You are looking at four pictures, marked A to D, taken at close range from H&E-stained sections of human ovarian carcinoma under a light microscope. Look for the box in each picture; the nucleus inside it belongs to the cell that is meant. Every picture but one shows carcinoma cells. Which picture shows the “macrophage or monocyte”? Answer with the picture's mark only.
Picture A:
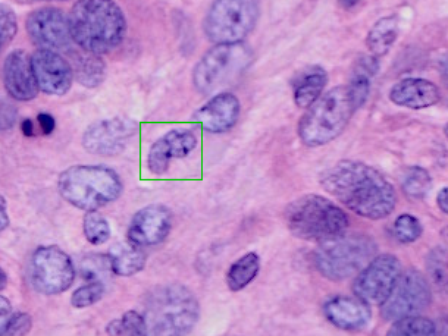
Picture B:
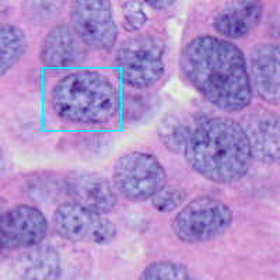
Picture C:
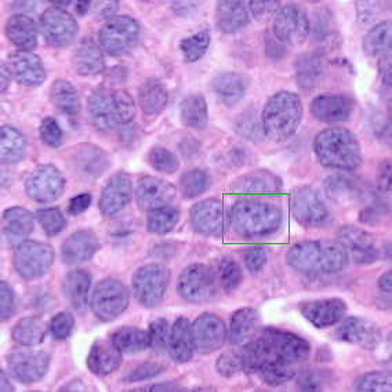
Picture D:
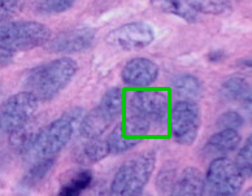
A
